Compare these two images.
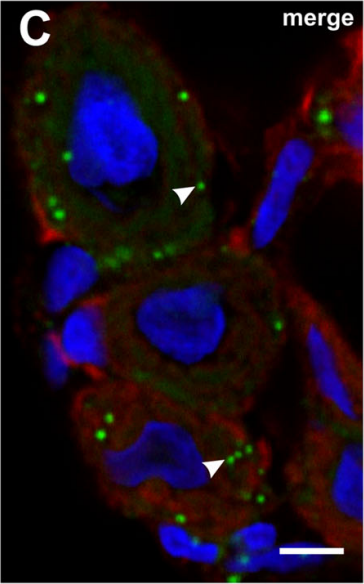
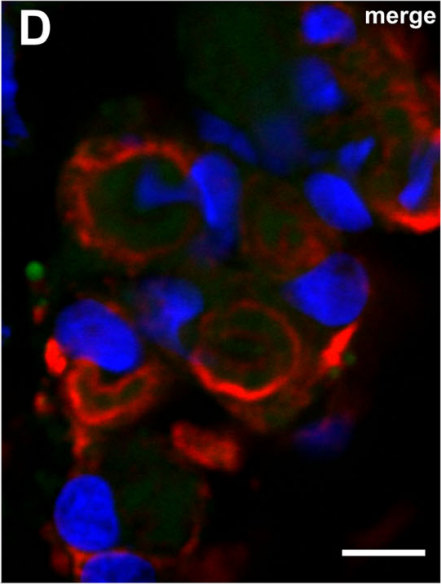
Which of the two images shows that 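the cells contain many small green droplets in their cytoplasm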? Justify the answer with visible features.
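Second image: the red-rimmed cells show almost no green dots. First image: many small round green dots lie in the cytoplasm around the nuclei. That points to this answer: the first image.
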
